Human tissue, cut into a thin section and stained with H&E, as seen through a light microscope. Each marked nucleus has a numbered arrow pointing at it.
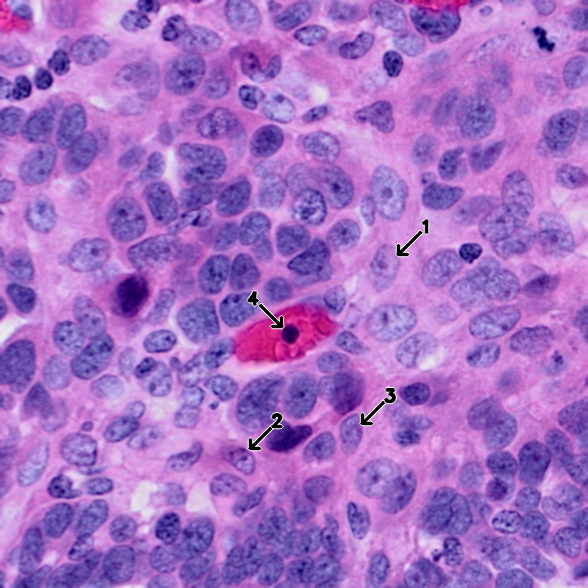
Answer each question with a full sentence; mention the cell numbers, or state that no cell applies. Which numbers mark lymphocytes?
Cell 4 stands alone among the numbered cells as a lymphocyte.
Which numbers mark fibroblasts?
The cells identified by the numbers 1 and 2 are fibroblasts.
